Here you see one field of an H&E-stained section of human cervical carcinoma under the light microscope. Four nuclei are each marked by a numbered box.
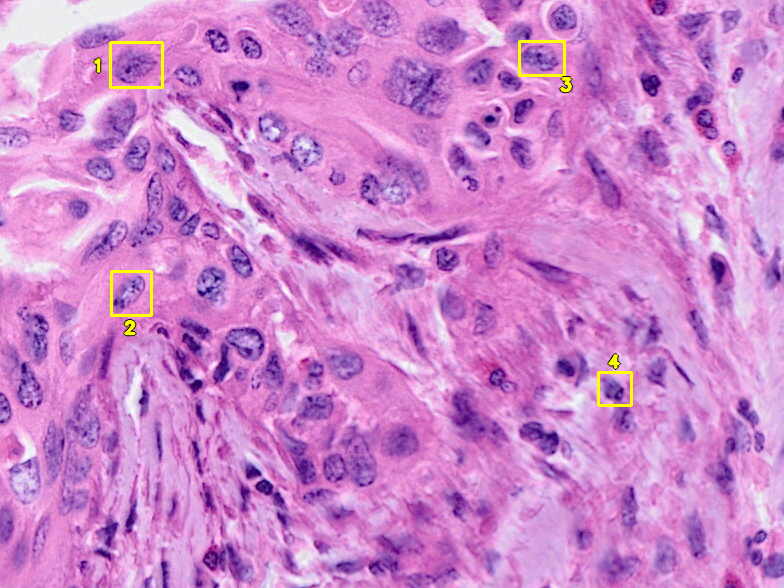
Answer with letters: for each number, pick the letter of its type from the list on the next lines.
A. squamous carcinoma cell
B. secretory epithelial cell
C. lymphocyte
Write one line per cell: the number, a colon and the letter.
1: A
2: A
3: A
4: C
